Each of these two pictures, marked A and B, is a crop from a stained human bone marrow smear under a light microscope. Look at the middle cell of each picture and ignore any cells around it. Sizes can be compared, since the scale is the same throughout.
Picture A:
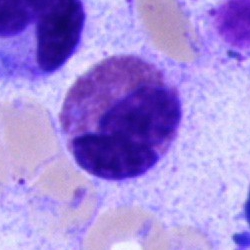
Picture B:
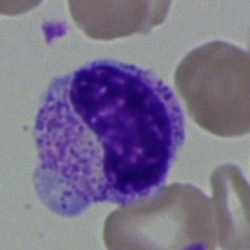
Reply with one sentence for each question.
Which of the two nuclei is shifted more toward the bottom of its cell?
Seen within its cell, the nucleus in picture A lies further toward the bottom.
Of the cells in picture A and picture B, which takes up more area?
Picture B holds the larger cell; it covers about 1.5 times the area of the cell in picture A.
